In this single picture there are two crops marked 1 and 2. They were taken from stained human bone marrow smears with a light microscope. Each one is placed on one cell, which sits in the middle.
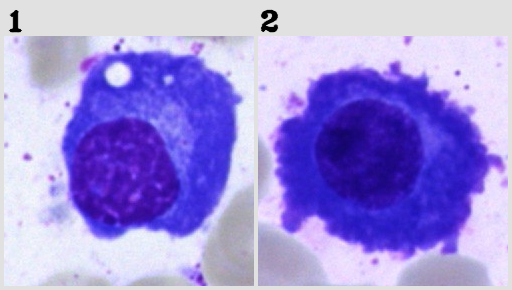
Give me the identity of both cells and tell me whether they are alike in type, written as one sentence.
Yes, both crops show plasma cells, one in each.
